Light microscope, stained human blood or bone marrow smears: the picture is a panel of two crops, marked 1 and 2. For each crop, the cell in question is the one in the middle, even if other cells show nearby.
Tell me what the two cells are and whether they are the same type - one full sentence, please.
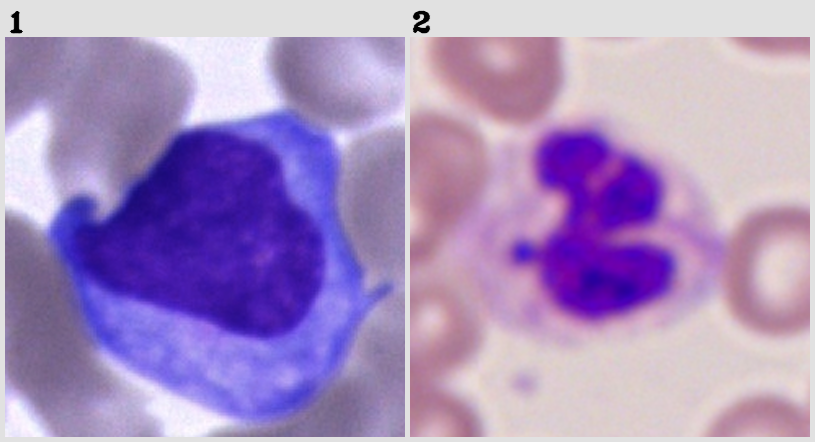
No, crop 1 and crop 2 contain, respectively, a monocyte and a segmented neutrophil.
